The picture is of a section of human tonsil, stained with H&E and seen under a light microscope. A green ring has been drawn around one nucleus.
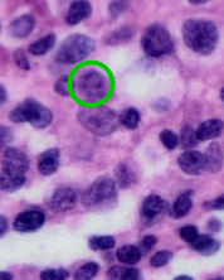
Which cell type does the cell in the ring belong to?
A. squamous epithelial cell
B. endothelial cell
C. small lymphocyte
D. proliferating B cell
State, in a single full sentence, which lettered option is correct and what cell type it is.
Among the choices, option D is correct, the cell in the ring being a proliferating B cell.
